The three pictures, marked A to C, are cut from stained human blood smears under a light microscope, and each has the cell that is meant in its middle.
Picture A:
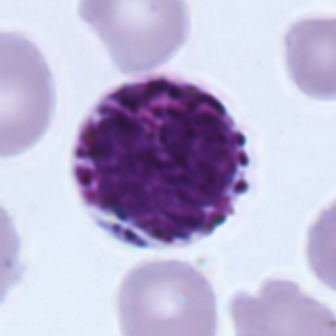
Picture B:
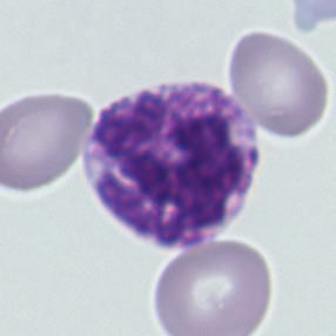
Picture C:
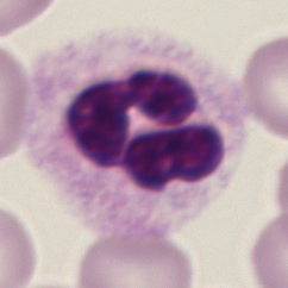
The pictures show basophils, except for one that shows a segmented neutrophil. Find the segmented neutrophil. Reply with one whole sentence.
Picture C shows the segmented neutrophil.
